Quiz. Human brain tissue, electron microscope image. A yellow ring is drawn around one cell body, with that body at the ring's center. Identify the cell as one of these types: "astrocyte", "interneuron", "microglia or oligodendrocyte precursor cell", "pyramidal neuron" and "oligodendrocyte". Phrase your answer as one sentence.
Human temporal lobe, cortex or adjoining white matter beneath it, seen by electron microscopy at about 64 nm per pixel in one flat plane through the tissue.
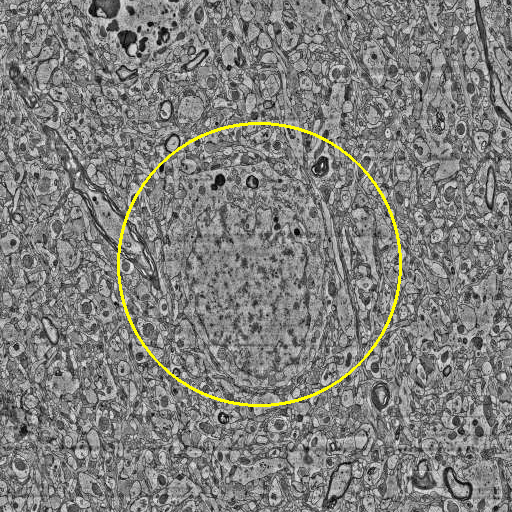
At the center of the ring sits an interneuron.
